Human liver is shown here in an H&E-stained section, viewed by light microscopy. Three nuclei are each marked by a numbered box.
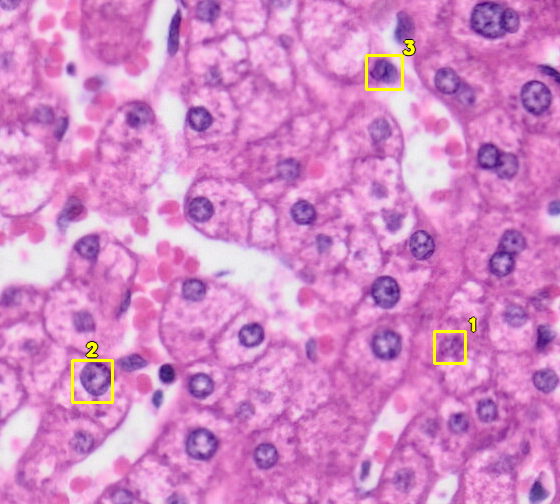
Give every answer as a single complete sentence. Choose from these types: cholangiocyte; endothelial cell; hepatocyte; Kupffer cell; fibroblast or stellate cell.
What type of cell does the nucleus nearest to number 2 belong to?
The nucleus nearest to number 2 is that of a Kupffer cell.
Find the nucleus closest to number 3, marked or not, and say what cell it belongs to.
The cell nearest to number 3 is an endothelial cell.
